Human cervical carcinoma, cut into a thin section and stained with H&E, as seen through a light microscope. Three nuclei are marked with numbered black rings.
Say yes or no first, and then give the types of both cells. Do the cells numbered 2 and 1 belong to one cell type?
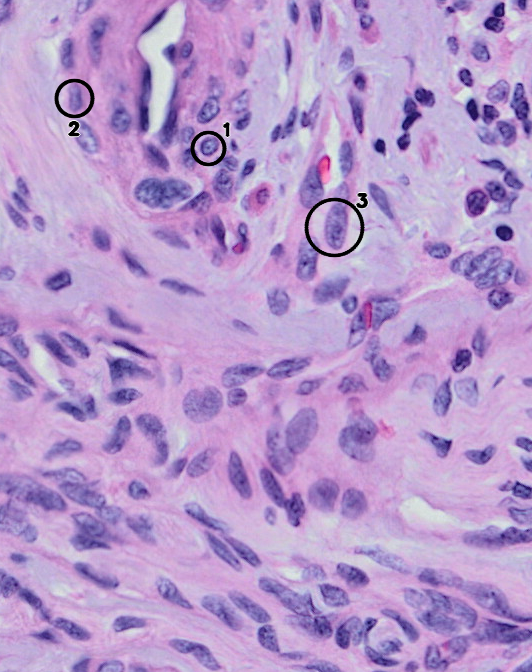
Yes, both are smooth muscle cells.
